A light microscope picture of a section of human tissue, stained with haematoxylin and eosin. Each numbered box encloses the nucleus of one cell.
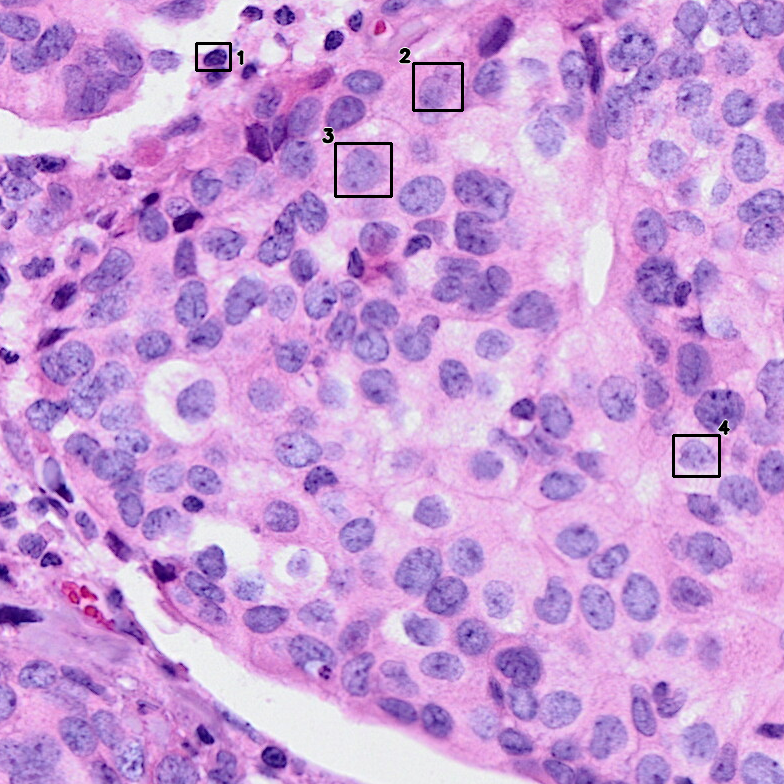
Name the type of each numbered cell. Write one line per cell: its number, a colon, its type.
1: lymphocyte
2: carcinoma cell
3: carcinoma cell
4: carcinoma cell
